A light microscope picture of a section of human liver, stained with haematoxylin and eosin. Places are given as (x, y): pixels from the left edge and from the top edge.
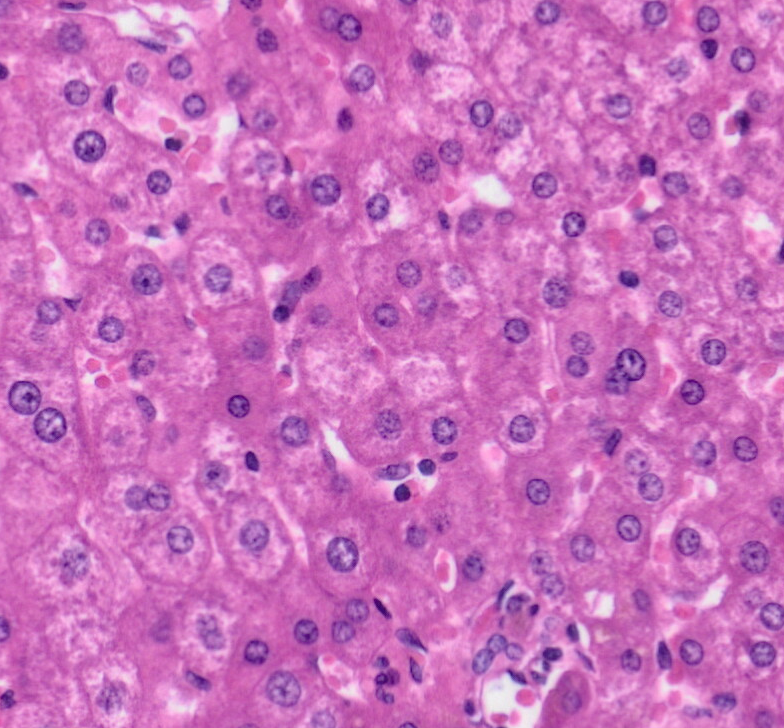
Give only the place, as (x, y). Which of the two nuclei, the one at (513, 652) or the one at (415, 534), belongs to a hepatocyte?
(415, 534)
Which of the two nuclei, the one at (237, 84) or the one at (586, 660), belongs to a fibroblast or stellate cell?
(586, 660)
